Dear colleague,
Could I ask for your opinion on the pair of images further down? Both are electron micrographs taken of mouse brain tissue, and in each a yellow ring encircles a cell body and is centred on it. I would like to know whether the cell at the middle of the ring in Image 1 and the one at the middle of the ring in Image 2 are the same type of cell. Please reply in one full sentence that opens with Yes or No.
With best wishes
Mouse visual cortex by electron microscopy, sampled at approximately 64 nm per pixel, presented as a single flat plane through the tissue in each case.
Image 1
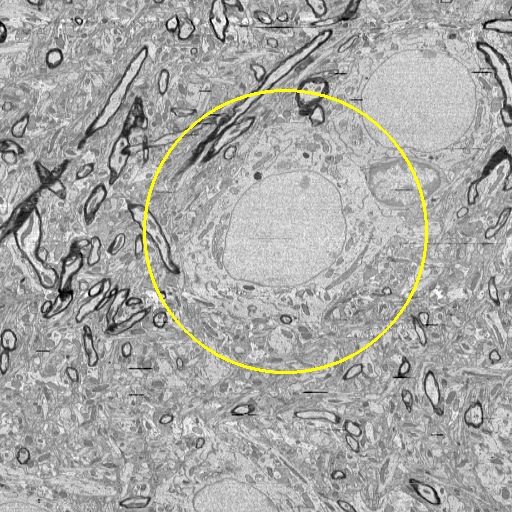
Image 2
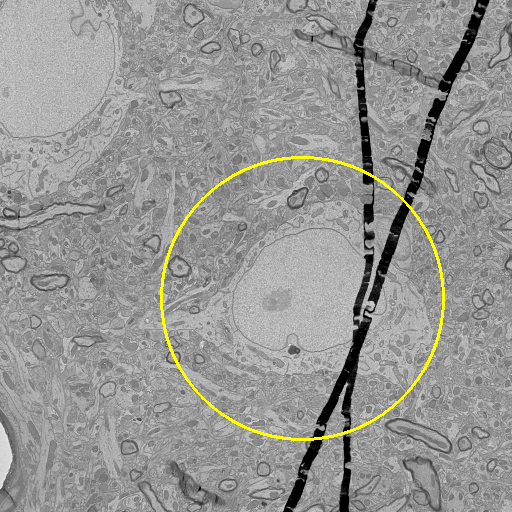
Yes, the cells at the ring centres in Image 1 and Image 2 are of one type.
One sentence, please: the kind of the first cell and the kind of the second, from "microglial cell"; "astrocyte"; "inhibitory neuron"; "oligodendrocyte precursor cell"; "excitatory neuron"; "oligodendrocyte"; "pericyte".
Both rings mark an excitatory neuron, one in each picture.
